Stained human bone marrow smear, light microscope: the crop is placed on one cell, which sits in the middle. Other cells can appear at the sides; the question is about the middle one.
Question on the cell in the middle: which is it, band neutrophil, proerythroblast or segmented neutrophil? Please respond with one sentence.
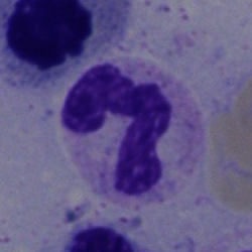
The cell in the middle of this crop is a segmented neutrophil.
